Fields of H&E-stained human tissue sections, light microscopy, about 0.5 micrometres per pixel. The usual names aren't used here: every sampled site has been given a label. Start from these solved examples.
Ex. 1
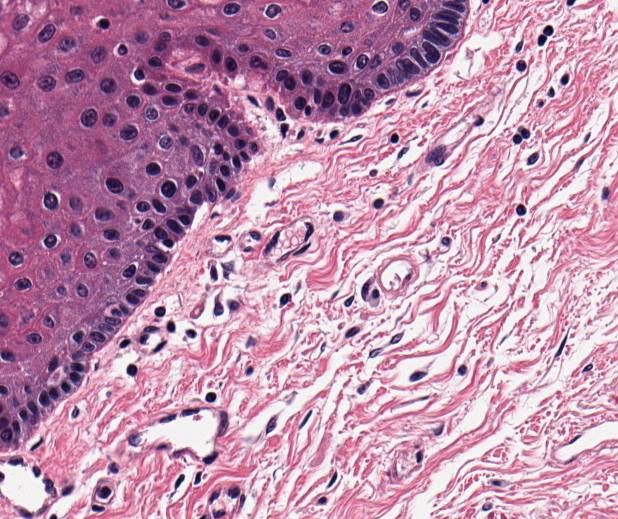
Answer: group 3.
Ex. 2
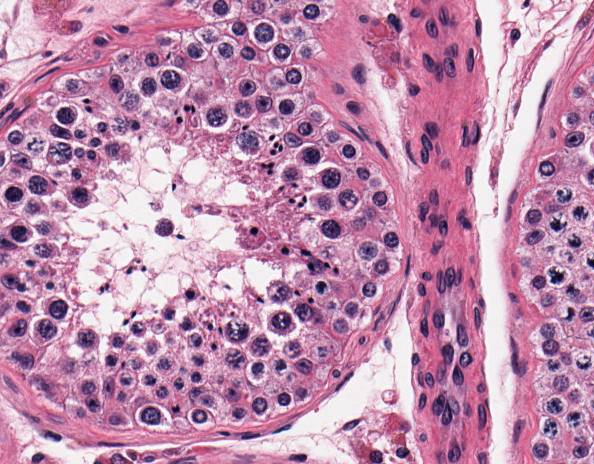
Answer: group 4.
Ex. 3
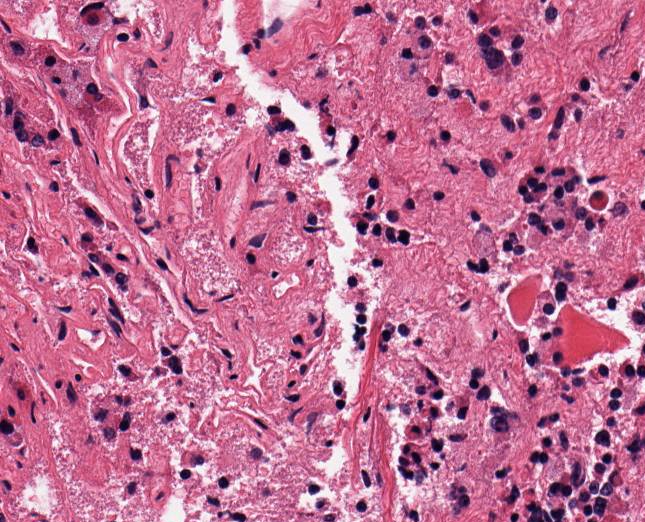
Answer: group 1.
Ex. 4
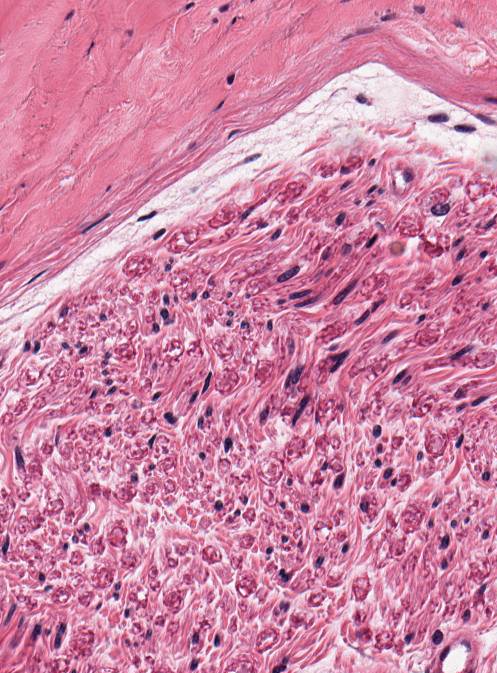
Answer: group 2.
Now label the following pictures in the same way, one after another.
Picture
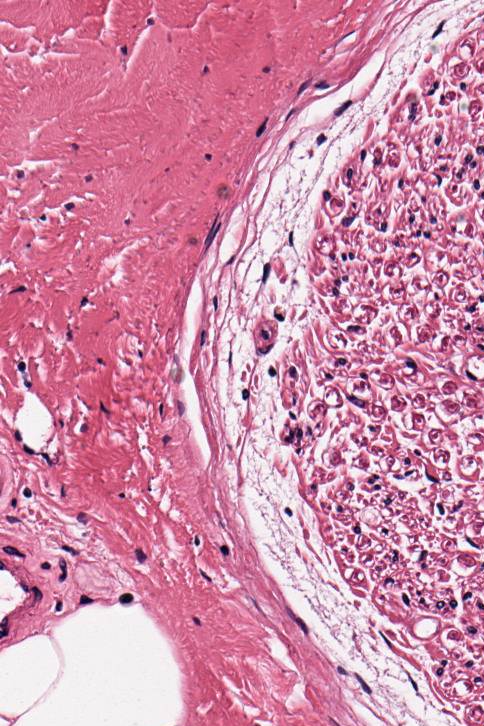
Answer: group 2.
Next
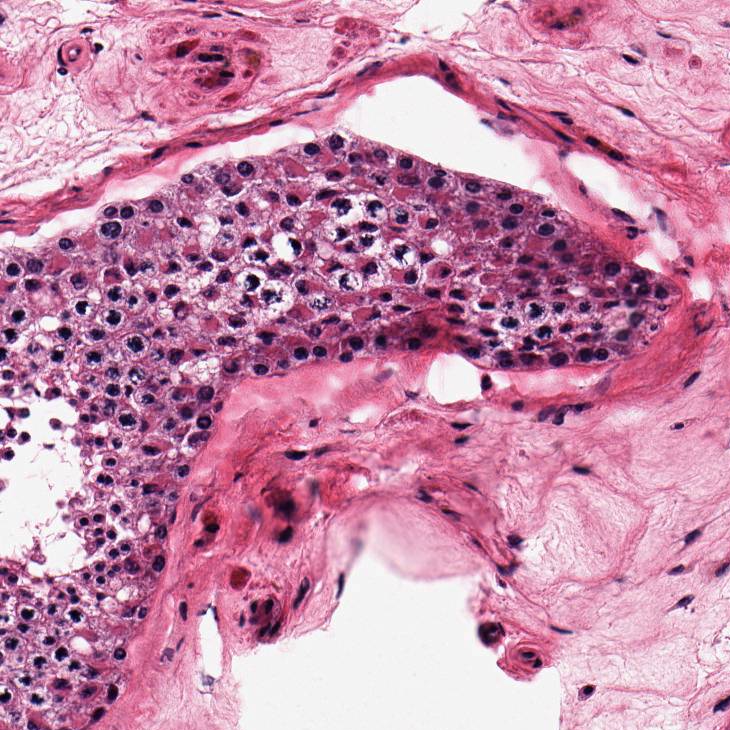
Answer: group 4.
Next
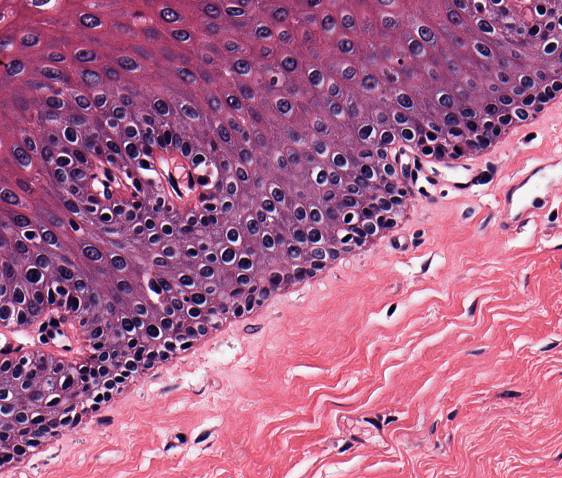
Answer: group 3.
